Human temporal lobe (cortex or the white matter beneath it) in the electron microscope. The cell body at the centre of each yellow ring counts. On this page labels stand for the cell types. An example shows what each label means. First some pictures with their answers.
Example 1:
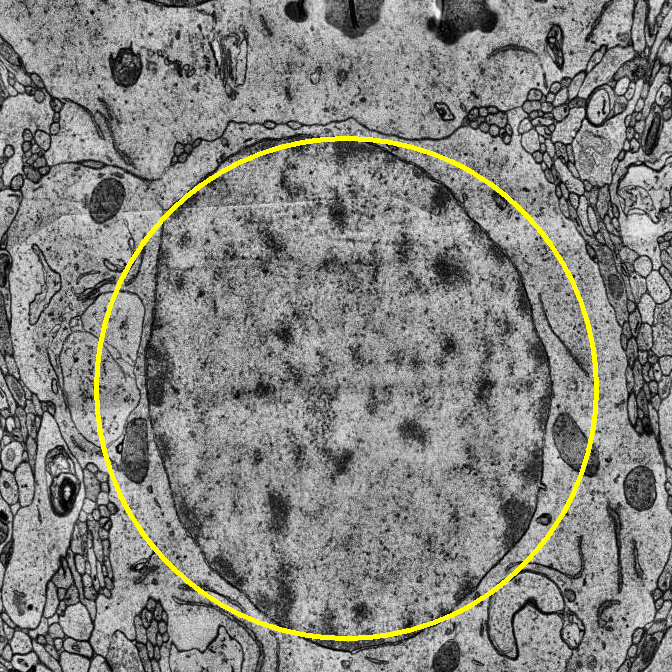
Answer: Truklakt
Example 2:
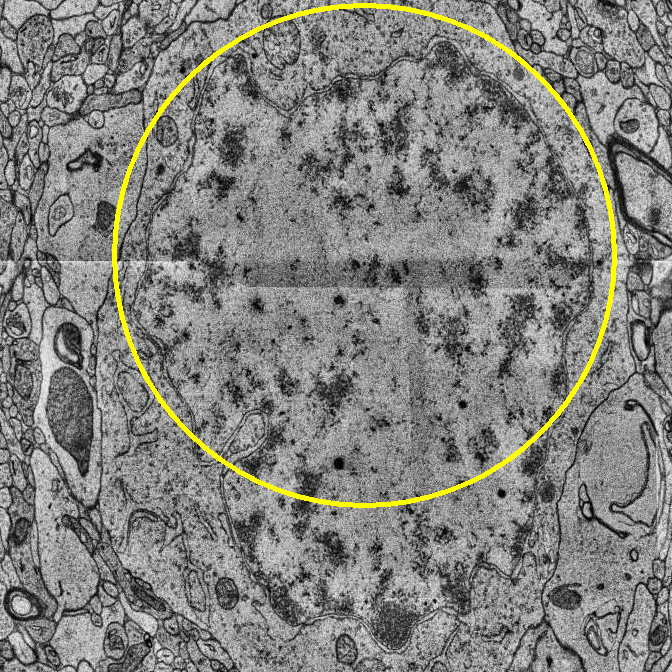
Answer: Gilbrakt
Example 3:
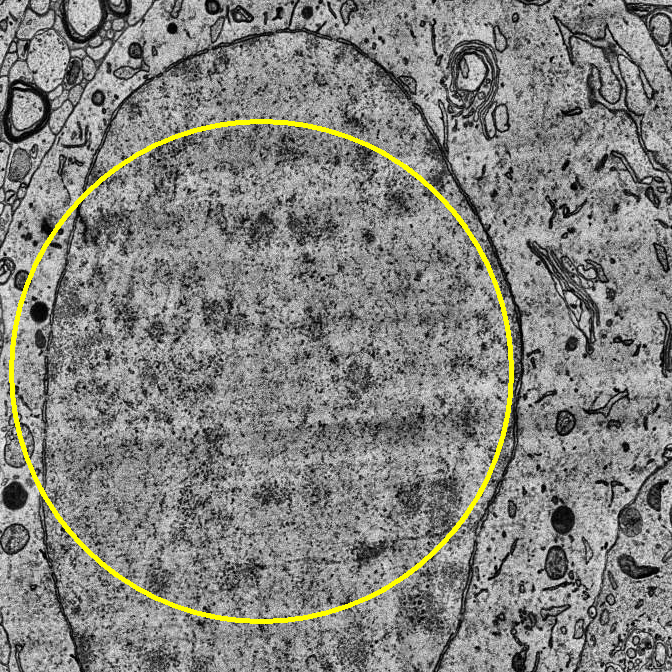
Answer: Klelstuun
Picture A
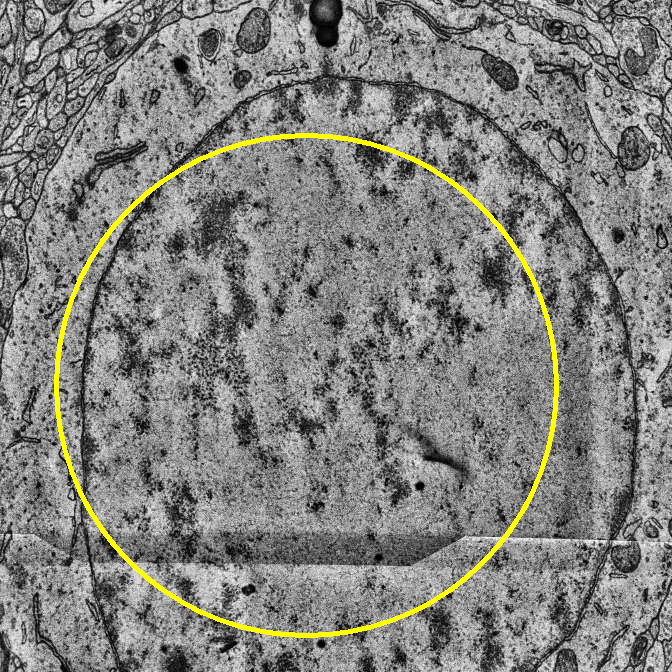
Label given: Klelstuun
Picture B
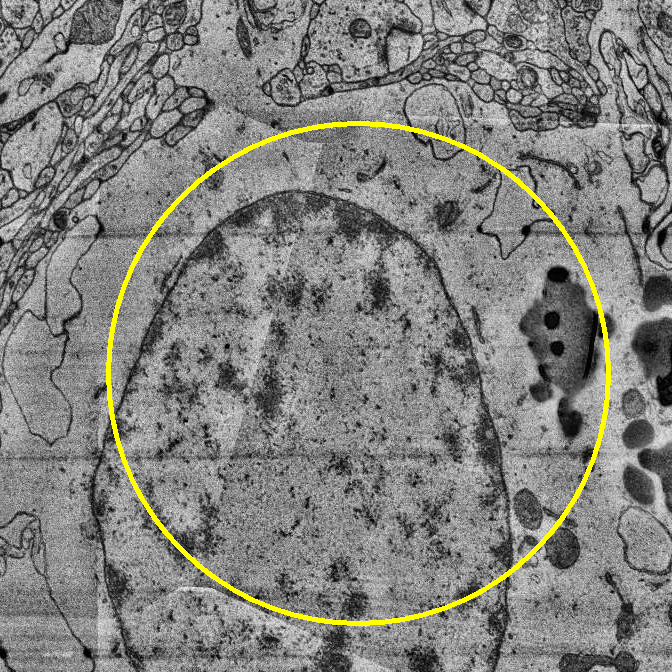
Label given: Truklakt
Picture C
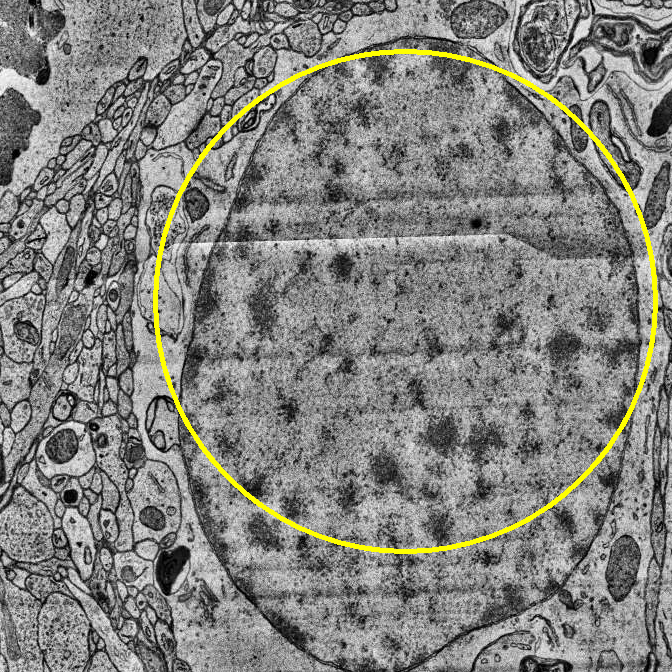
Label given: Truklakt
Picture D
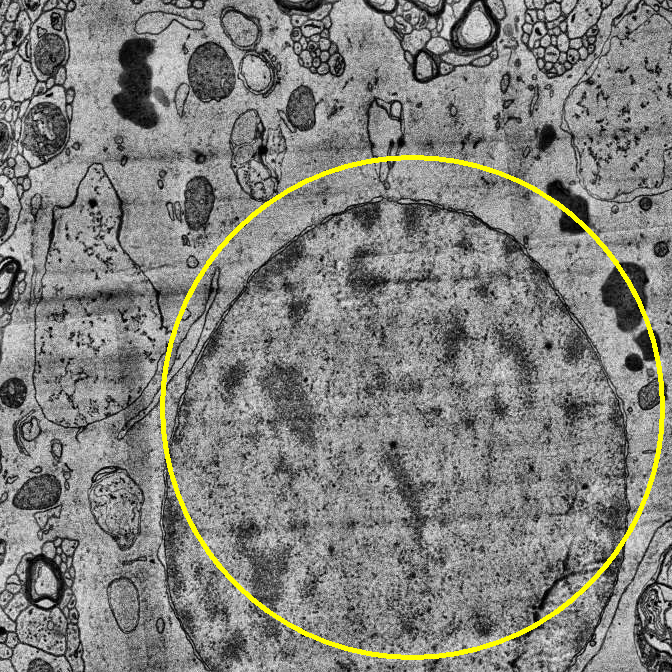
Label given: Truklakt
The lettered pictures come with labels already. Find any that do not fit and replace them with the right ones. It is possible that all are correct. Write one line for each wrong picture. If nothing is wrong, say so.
None of the labels needs changing.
